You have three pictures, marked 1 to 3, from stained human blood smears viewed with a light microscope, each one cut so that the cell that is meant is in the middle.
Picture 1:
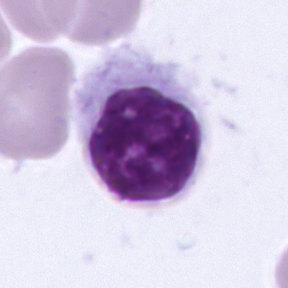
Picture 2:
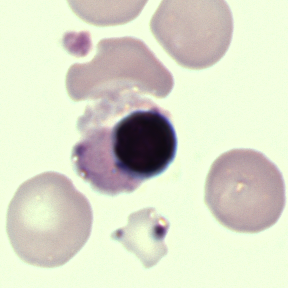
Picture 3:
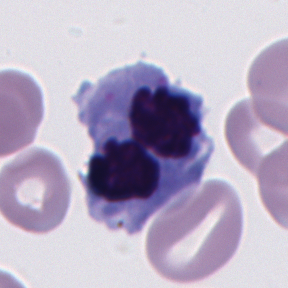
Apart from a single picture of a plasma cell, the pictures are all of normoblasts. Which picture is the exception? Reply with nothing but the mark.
1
